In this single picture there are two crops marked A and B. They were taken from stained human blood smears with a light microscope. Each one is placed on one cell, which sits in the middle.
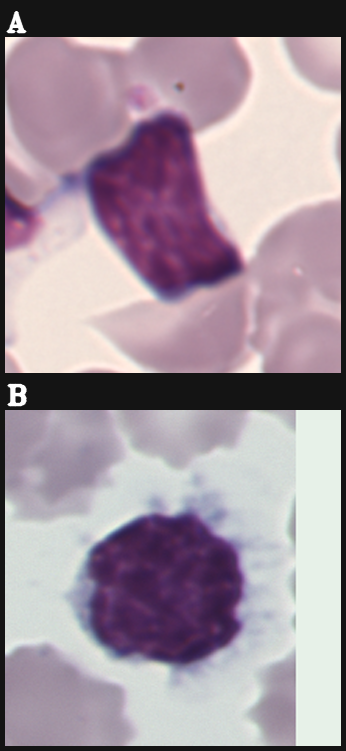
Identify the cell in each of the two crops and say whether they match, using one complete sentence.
No, crop A shows a typical lymphocyte, and crop B, by contrast, shows a hairy cell.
